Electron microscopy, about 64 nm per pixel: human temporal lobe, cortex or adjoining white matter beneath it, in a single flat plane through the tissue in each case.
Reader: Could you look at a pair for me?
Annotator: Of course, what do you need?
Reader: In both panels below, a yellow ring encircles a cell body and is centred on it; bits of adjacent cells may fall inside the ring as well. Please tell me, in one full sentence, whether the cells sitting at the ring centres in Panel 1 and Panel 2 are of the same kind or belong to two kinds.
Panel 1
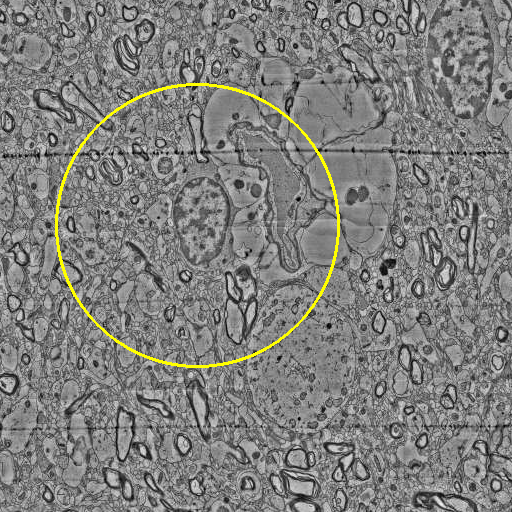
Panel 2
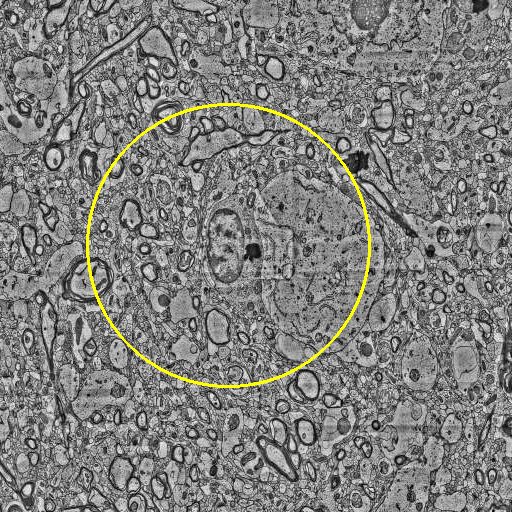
The cell at the ring's centre in Panel 1 and the one in Panel 2 are of the same kind.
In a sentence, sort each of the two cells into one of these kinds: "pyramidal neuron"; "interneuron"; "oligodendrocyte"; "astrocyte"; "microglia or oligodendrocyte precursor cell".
The ring centre holds an oligodendrocyte in each of the two pictures.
